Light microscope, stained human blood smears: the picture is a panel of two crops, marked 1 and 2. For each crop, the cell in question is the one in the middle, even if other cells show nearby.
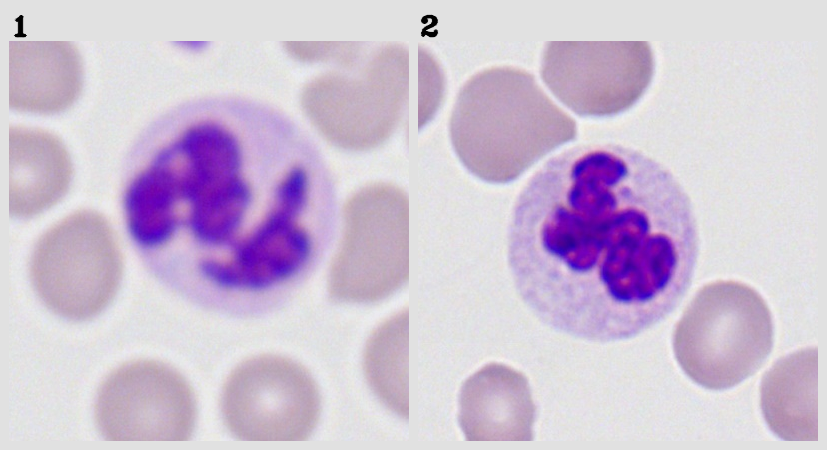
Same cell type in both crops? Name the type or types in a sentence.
Yes, both crops show segmented neutrophils, to put it briefly.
